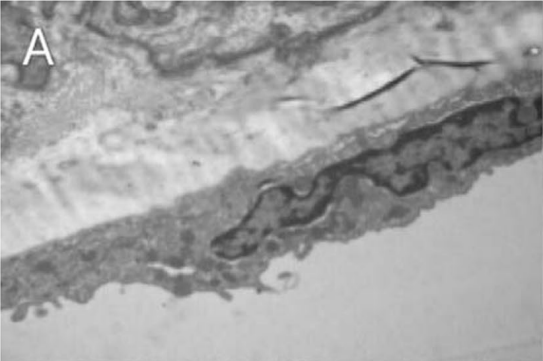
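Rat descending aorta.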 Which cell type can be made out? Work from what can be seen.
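A single thin, flattened cell lines a smooth empty lumen. Its nucleus is long and narrow, running parallel to the surface. Pale fibrous matrix lies beneath the cell, away from the lumen.
Answer: endothelial cells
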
